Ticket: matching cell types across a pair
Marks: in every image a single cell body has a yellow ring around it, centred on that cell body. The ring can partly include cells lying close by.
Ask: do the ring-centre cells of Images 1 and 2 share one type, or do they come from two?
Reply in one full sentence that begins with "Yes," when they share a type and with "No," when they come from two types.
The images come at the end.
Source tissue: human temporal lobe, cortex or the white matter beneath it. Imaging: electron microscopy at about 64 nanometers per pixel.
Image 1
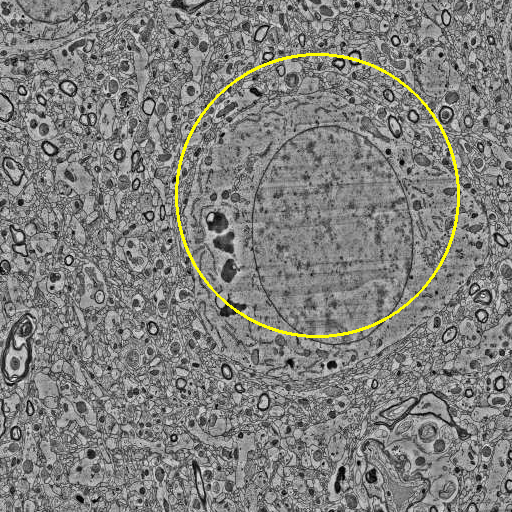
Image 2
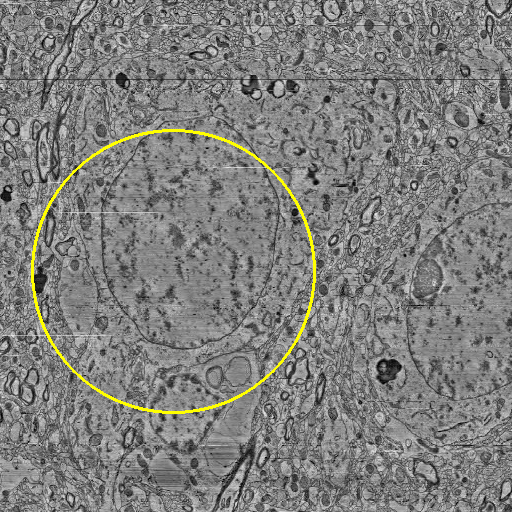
Yes, the cells in the centres of the rings in Image 1 and Image 2 share one type.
